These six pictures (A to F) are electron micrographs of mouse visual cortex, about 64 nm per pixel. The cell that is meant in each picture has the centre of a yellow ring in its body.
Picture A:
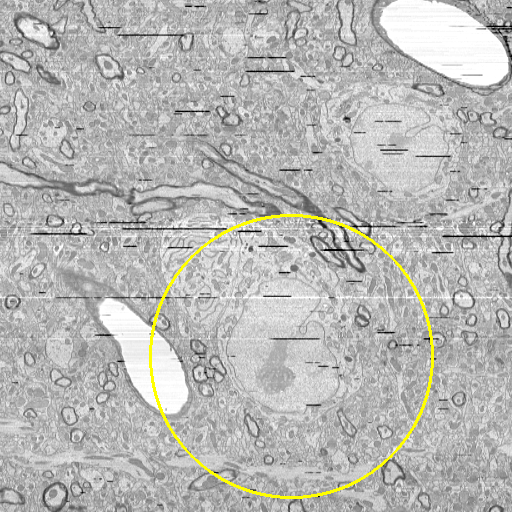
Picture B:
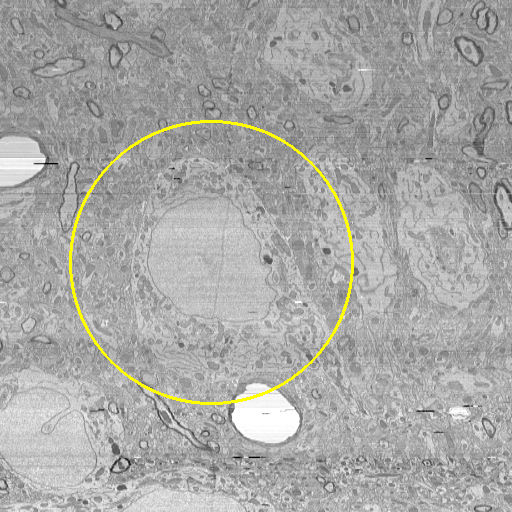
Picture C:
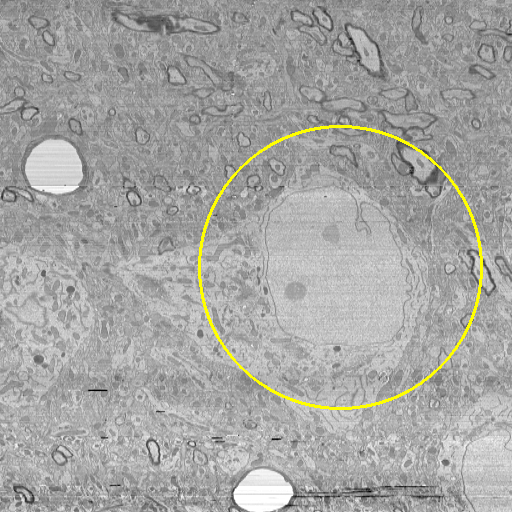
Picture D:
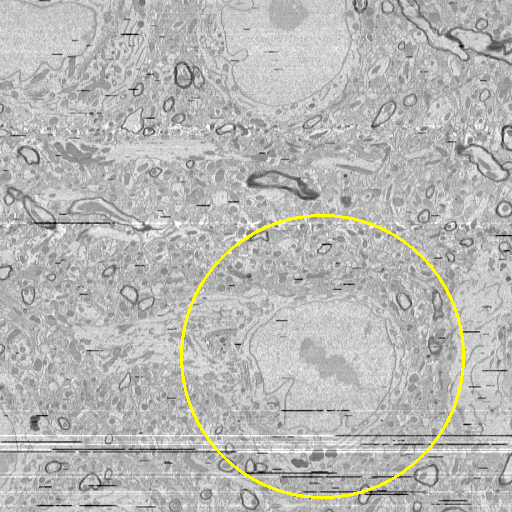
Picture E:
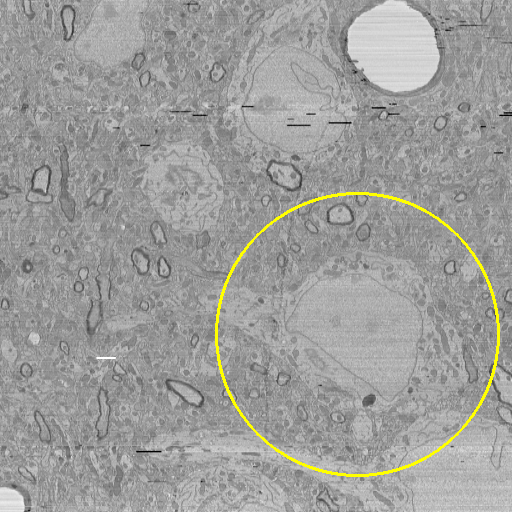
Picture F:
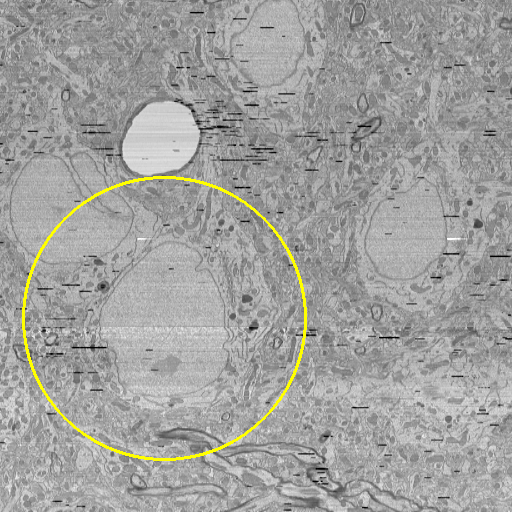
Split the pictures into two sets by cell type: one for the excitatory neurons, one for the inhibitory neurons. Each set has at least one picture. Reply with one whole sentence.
Pictures C and E show excitatory neurons; pictures A, B, D and F show inhibitory neurons.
